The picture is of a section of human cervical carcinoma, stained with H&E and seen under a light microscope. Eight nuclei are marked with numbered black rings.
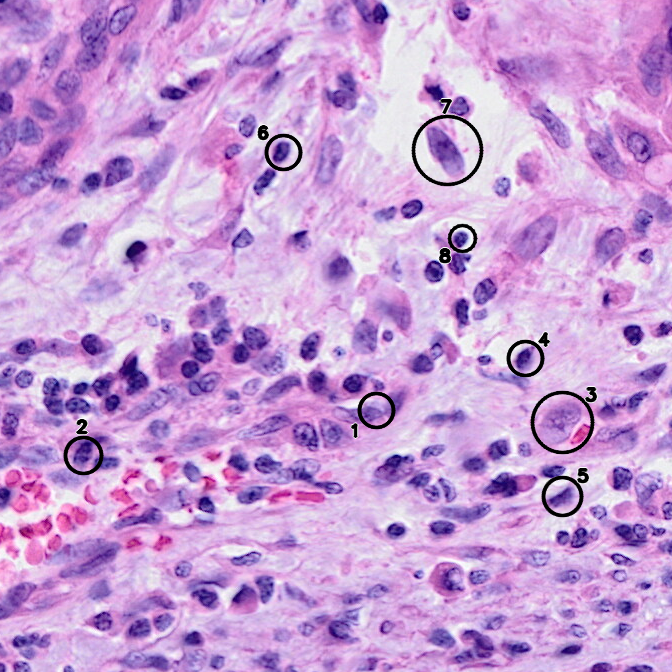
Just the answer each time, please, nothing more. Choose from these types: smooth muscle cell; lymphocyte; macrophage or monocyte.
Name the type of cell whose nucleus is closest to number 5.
lymphocyte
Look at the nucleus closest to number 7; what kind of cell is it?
lymphocyte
